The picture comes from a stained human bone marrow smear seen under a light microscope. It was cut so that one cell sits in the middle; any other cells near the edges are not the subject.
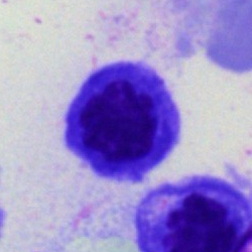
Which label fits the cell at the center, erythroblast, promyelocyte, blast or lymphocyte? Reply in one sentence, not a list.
The cell the crop is centered on is an erythroblast.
